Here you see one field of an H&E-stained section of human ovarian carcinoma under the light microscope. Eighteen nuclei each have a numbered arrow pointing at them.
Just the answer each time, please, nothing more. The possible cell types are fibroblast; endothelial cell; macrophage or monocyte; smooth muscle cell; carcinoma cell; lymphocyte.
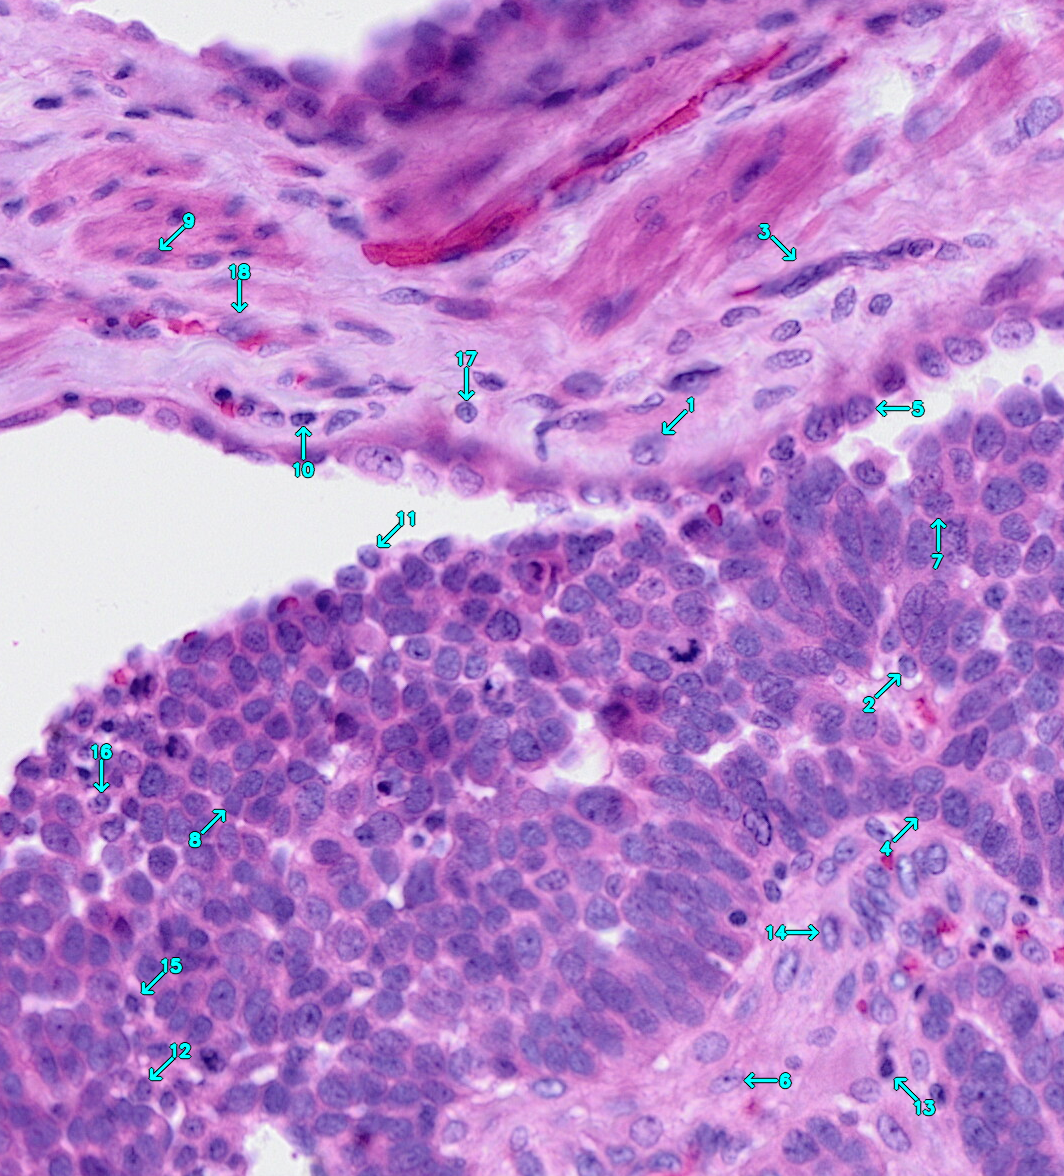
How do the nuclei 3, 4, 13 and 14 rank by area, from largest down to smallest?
3, 14, 4, 13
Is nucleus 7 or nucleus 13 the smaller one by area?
13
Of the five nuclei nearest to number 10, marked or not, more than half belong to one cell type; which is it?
endothelial cell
